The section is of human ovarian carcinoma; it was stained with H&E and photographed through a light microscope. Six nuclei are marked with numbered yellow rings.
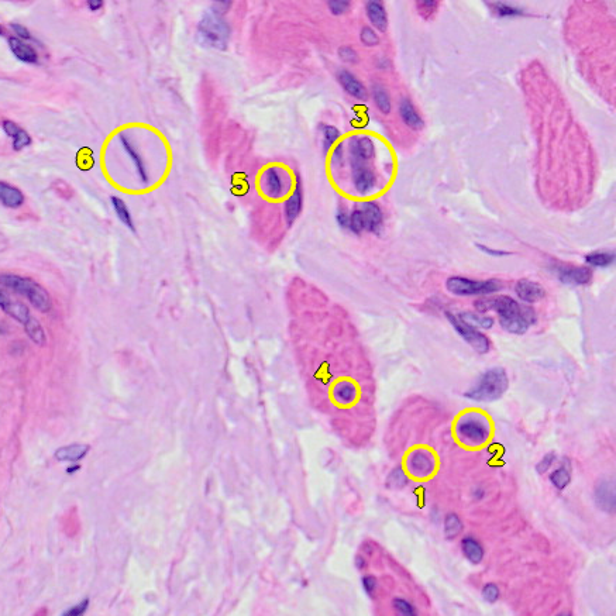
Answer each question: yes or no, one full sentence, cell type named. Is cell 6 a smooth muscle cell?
No, cell 6 is not a smooth muscle cell; a fibroblast is correct.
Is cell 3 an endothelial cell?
Yes, number 3 corresponds to an endothelial cell.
